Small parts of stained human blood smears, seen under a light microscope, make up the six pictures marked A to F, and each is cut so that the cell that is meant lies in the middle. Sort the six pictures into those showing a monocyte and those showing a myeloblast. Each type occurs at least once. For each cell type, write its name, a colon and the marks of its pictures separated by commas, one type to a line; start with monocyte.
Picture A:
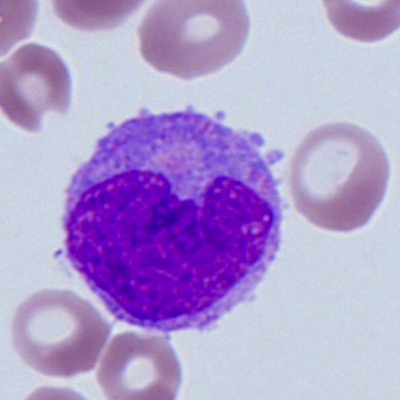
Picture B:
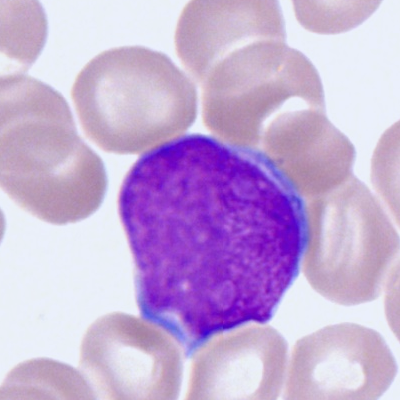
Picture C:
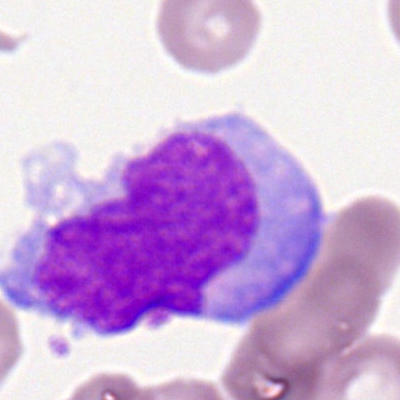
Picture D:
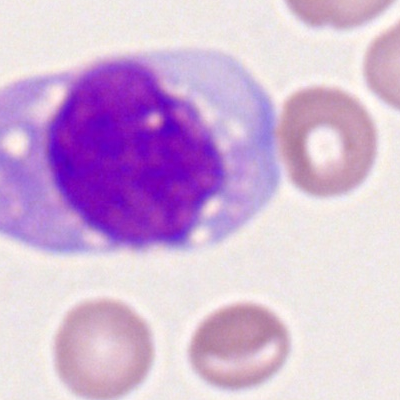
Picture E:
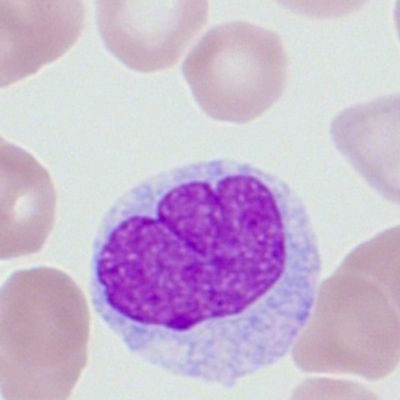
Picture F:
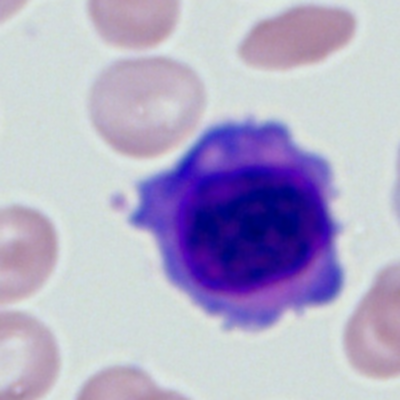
monocyte: A, C, D, E
myeloblast: B, F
